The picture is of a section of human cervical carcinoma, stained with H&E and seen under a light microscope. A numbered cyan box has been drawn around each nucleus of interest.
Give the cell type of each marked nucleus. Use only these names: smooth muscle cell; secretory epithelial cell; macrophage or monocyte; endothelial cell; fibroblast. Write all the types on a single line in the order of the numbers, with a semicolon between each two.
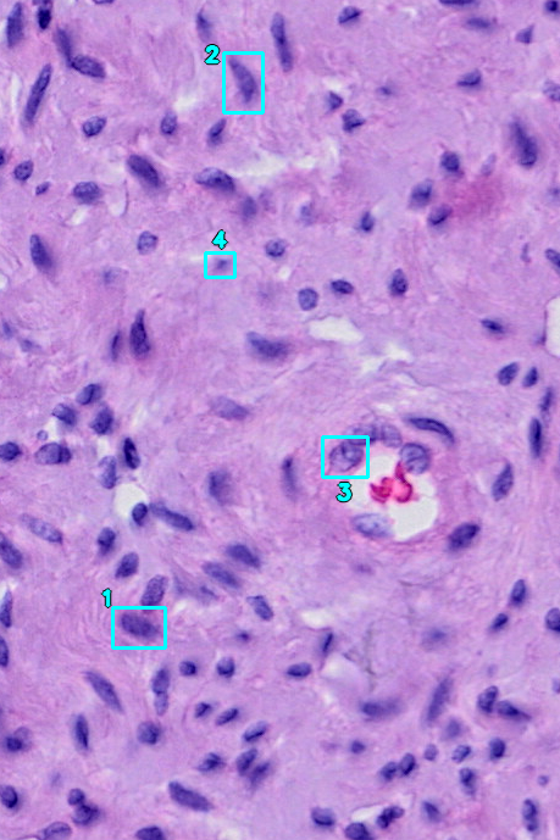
fibroblast; fibroblast; endothelial cell; fibroblast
